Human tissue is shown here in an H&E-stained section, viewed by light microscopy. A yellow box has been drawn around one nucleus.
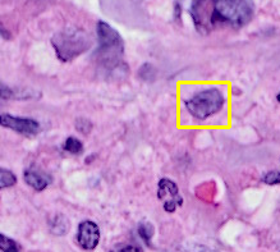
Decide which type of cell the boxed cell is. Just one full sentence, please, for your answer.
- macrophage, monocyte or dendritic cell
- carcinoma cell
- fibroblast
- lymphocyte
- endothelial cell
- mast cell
In terms of identity, the boxed cell is a macrophage, monocyte or dendritic cell.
